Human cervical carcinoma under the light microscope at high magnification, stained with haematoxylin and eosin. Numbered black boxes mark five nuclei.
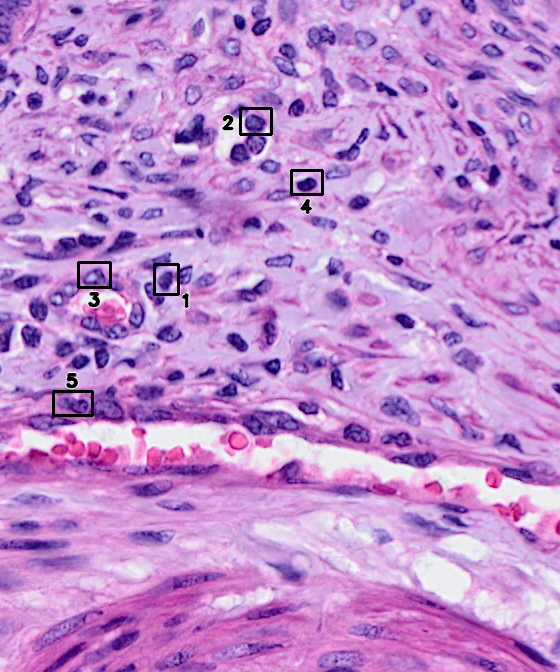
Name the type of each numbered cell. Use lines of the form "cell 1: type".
cell 1: lymphocyte
cell 2: lymphocyte
cell 3: endothelial cell
cell 4: lymphocyte
cell 5: endothelial cell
